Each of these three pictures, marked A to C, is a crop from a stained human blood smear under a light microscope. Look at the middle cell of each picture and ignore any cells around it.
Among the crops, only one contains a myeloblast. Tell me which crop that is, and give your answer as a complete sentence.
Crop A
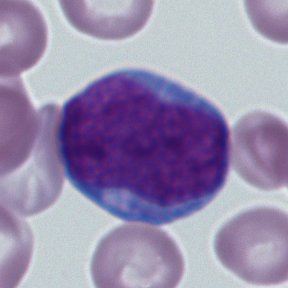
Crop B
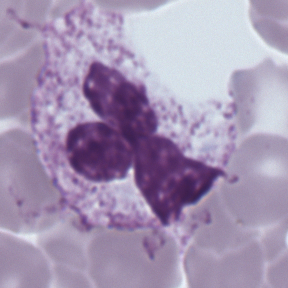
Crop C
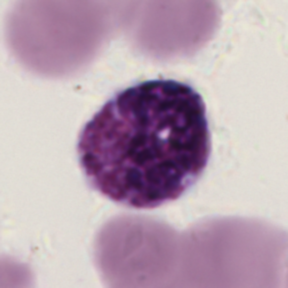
Crop A is the one to choose: it shows a myeloblast.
